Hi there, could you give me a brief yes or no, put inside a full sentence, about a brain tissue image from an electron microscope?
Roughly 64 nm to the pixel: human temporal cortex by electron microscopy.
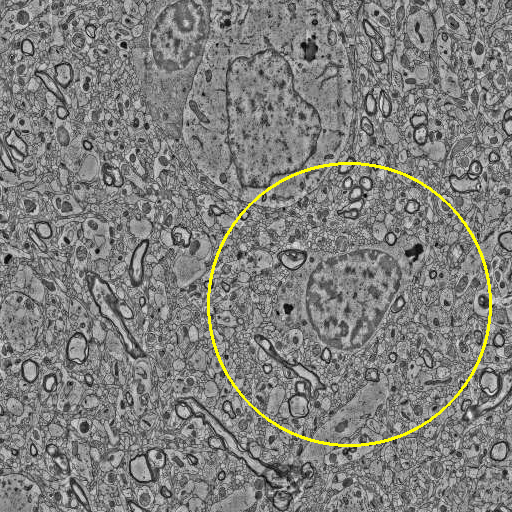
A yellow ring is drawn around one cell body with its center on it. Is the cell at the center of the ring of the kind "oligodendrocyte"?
Yes, the cell found at the center of the yellow ring is of that kind.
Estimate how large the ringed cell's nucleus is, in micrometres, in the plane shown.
In this plane the nucleus measures roughly 7 by 6 micrometres.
